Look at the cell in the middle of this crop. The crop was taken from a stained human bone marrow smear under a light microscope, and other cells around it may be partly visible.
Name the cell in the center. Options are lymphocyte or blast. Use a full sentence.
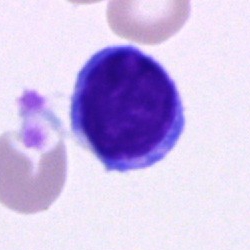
Present in the middle of the crop is a lymphocyte.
